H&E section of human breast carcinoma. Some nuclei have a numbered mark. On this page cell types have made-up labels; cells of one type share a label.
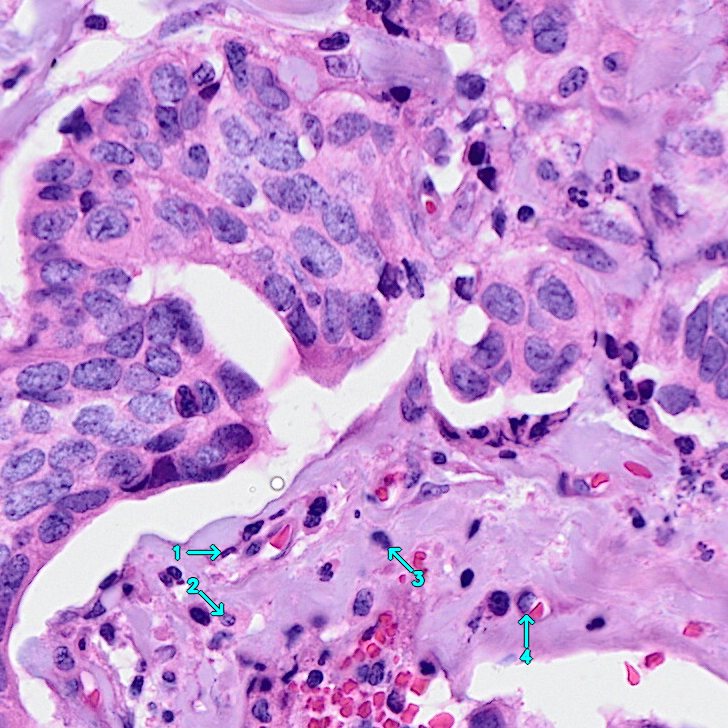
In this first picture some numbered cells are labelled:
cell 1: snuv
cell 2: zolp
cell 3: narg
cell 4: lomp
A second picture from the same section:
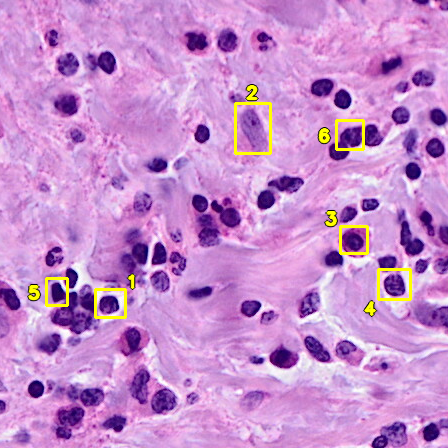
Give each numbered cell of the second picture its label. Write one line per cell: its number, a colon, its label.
1: narg
2: snuv
3: zolp
4: narg
5: narg
6: narg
